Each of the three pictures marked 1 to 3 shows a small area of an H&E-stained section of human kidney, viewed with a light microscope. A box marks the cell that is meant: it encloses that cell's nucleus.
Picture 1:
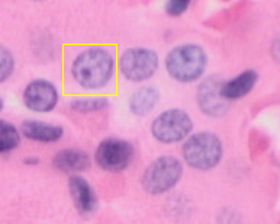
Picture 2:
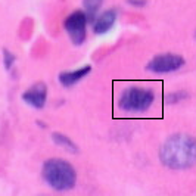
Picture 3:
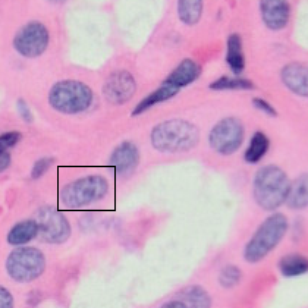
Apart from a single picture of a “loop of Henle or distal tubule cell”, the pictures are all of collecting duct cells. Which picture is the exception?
2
